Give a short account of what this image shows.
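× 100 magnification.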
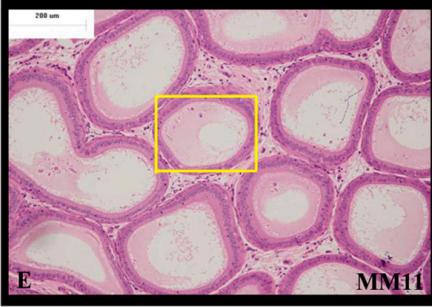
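These are cross-sections of the epididymis tube, each lined by a tall columnar epithelium with nuclei set toward the base. Between the ducts lies loose connective tissue with scattered nuclei.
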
